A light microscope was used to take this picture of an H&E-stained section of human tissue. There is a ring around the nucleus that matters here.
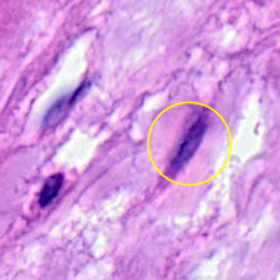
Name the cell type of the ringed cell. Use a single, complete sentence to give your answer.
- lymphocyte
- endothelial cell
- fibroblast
With respect to cell type, the ringed cell is a fibroblast.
